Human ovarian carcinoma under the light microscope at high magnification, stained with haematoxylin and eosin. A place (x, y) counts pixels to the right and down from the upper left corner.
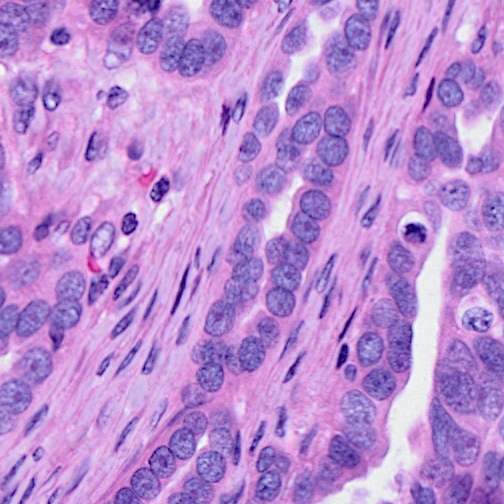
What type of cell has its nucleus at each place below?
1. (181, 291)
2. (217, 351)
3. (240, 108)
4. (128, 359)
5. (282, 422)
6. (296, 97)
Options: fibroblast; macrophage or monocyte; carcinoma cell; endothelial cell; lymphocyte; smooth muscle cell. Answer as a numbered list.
1. fibroblast
2. carcinoma cell
3. fibroblast
4. fibroblast
5. fibroblast
6. carcinoma cell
